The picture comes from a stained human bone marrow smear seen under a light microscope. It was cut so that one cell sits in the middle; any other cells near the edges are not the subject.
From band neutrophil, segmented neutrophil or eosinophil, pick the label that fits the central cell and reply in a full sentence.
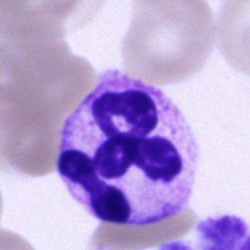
By type, the central cell of the crop is a segmented neutrophil.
